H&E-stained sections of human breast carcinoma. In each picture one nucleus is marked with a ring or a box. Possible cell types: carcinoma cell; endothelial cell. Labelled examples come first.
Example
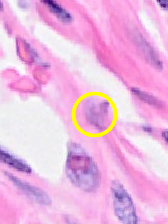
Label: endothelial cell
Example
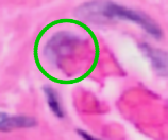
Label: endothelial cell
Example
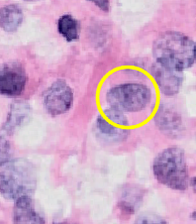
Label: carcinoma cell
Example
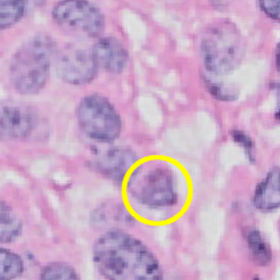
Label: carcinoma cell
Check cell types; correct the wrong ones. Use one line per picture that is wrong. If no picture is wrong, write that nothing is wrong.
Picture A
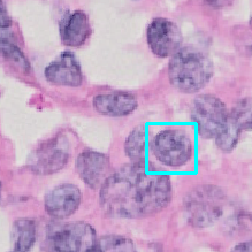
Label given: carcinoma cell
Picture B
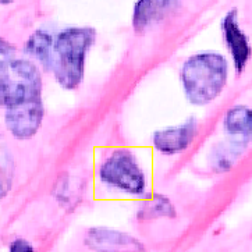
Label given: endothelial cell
Wrong: B (endothelial cell); correct: carcinoma cell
